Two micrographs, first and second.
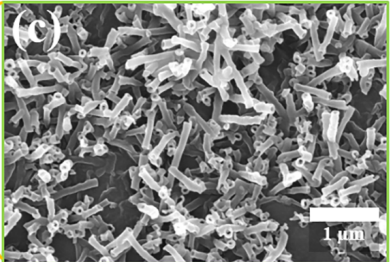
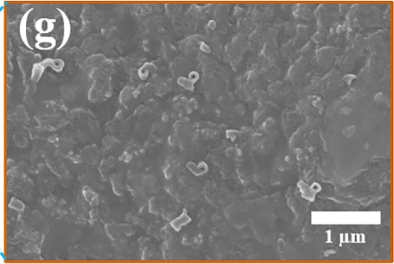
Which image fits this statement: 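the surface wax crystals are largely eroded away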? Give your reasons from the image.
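Second image: a mostly flat surface with only a few scattered short tubular fragments. First image: a dense, even carpet of tubular wax rods.
Conclusion: the second image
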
